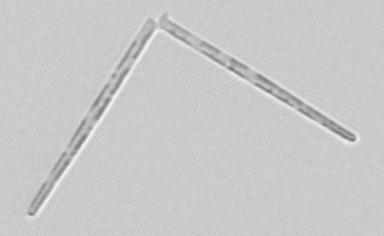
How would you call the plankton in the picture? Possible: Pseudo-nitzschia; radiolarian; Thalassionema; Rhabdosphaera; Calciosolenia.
I would call it Thalassionema.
